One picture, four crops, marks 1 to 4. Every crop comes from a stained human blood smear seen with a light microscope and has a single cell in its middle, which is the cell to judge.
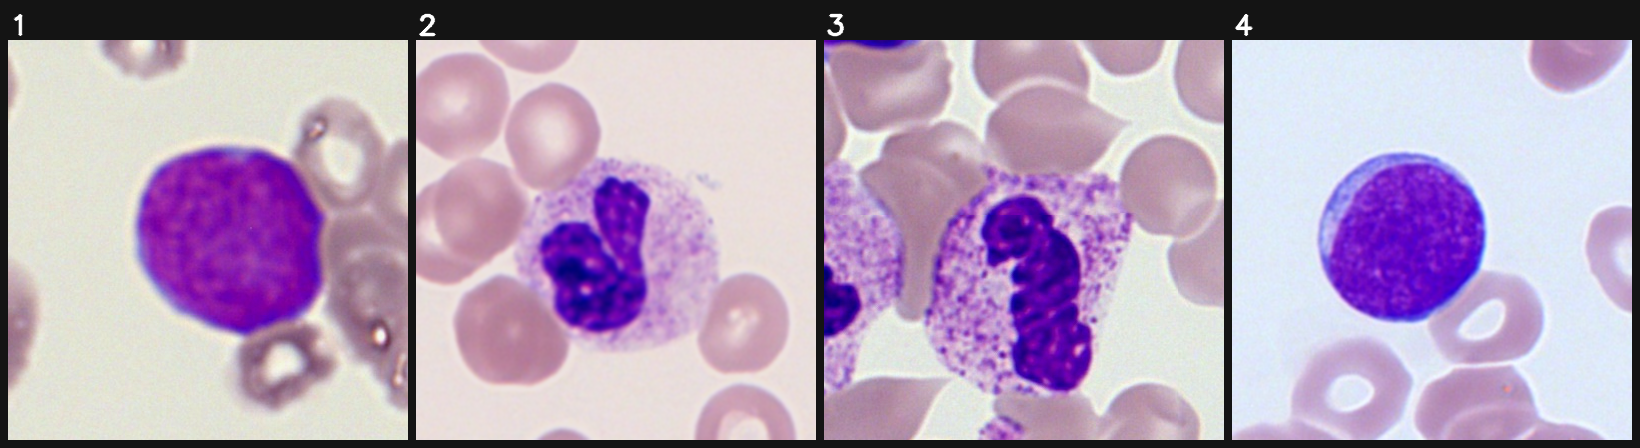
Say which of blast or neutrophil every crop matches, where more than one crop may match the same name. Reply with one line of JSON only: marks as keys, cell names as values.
{"1": "blast", "2": "neutrophil", "3": "neutrophil", "4": "blast"}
